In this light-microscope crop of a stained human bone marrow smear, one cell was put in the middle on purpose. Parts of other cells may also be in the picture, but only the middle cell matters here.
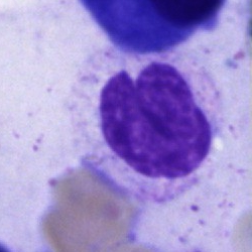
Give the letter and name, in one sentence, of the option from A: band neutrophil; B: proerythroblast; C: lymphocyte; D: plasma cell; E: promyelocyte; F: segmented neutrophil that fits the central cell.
The cell in the middle is correctly identified as a band neutrophil in option A.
